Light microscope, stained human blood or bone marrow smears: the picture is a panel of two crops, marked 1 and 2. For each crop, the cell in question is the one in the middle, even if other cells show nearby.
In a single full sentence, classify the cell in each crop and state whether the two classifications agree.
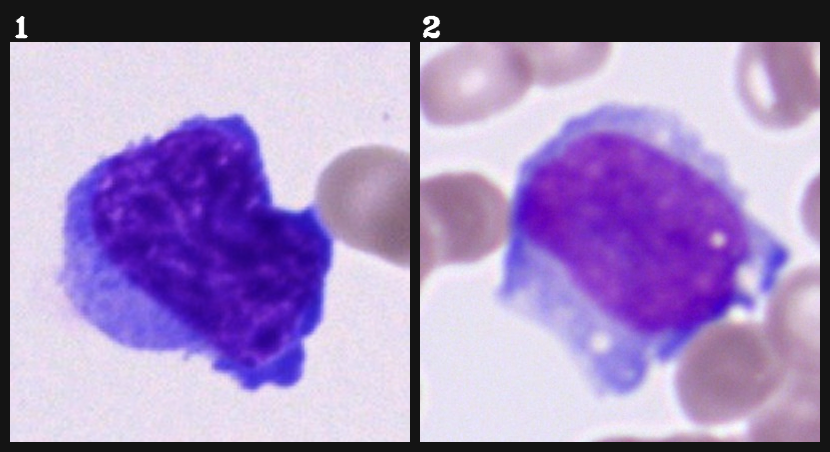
Yes, blasts are centred in both crops.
